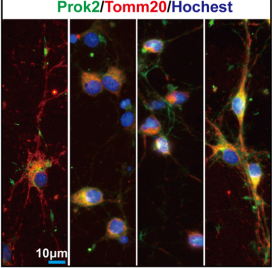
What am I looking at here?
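Four side-by-side fluorescence fields show cultured neurons with round blue nuclei and thin processes extending between them. Red and green signal lies in the cytoplasm around the nuclei, where the two overlap as yellow to orange. In the middle two fields, the cells appear mostly as rounded cell bodies, and fewer processes are visible. In the rightmost field, longer processes with red and green signal reappear and run between the cell bodies.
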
